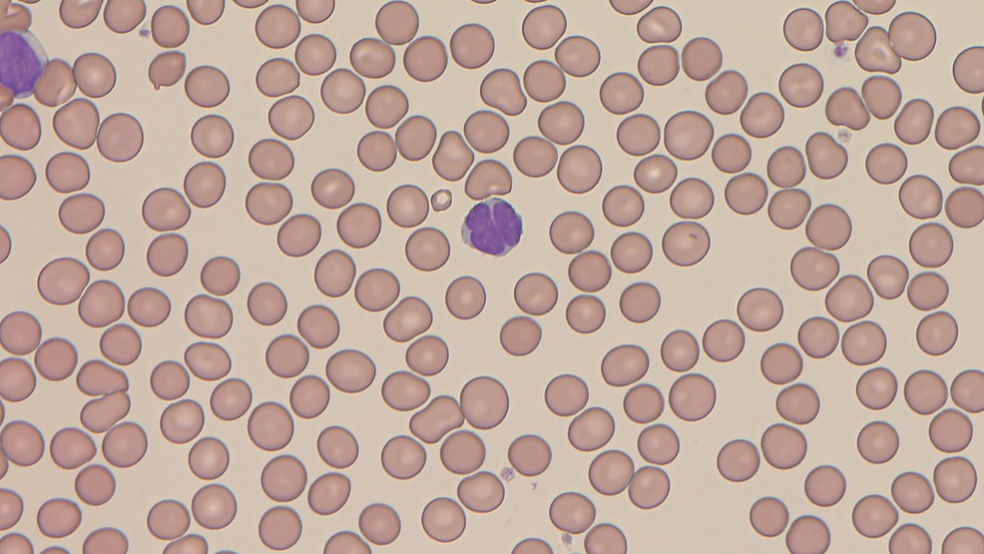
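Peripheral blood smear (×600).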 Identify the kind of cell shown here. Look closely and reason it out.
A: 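Flower cells. A single nucleated cell lies in the center among red blood cells. Its purple nucleus is divided into several rounded lobes arranged like petals. It has only a thin rim of pale cytoplasm.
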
